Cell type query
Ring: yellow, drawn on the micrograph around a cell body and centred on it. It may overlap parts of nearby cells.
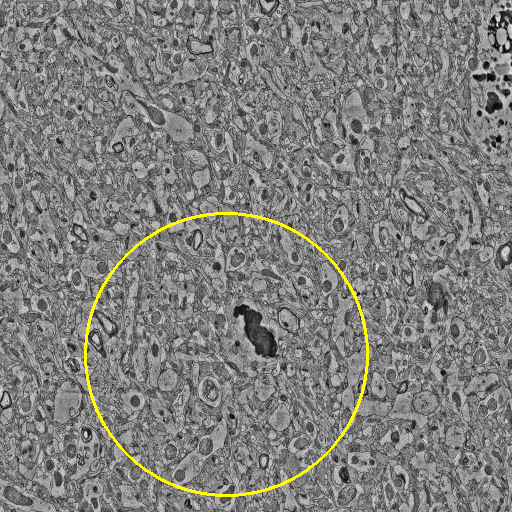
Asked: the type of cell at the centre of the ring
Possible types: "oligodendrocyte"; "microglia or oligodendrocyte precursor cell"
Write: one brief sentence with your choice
The ring marks an oligodendrocyte.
